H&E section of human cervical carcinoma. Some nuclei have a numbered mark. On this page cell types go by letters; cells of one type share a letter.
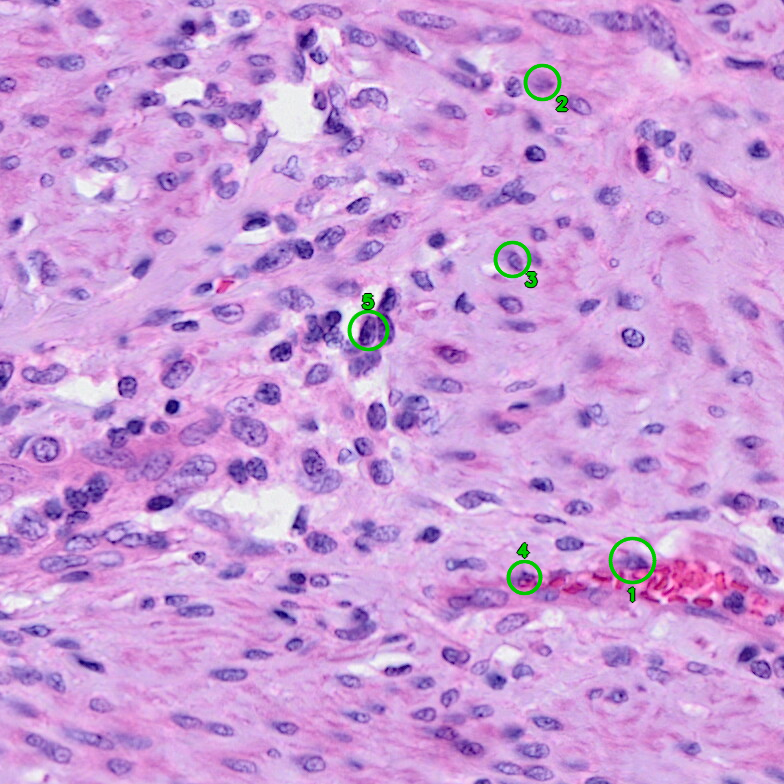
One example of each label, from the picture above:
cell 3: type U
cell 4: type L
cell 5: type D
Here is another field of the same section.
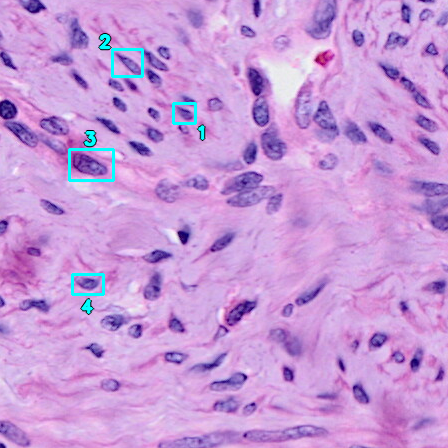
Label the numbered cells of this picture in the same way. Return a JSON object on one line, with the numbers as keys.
{"1": "type U", "2": "type U", "3": "type L", "4": "type U"}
